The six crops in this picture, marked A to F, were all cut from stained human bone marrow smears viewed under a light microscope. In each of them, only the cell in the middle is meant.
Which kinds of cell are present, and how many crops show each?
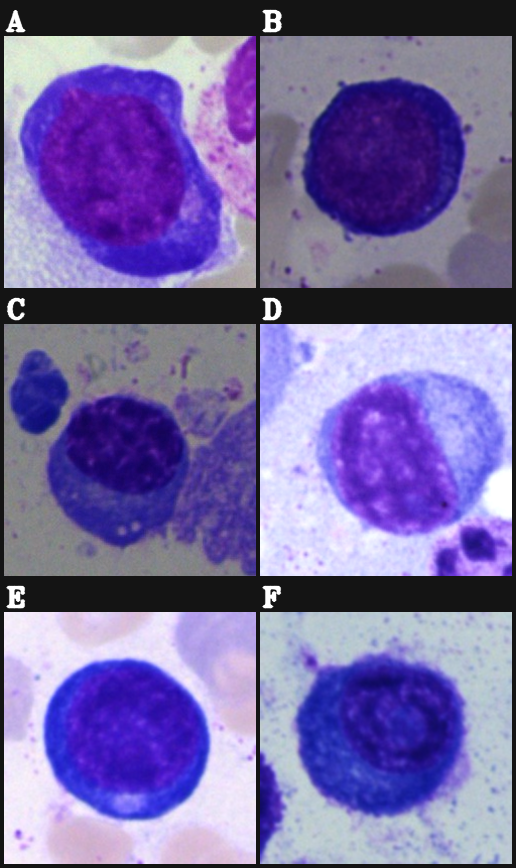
proerythroblast: 3
plasma cell: 3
